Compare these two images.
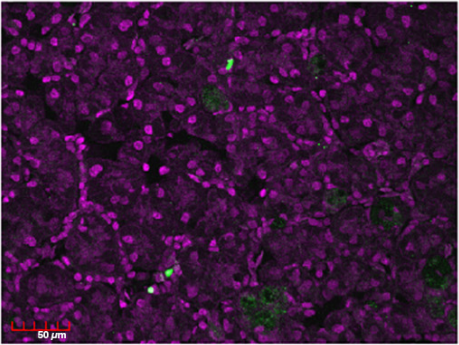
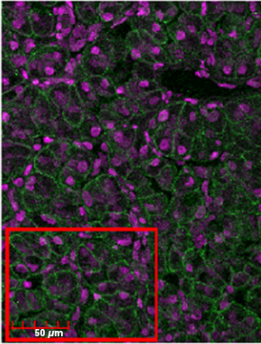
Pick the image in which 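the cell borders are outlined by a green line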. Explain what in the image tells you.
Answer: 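Second image: continuous green lines outline polygonal cells across the field. The answer: the second image.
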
